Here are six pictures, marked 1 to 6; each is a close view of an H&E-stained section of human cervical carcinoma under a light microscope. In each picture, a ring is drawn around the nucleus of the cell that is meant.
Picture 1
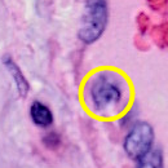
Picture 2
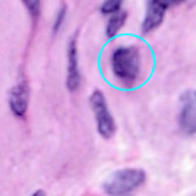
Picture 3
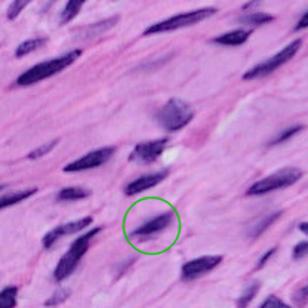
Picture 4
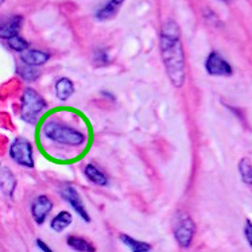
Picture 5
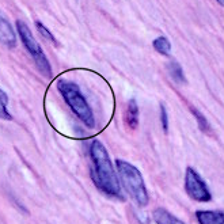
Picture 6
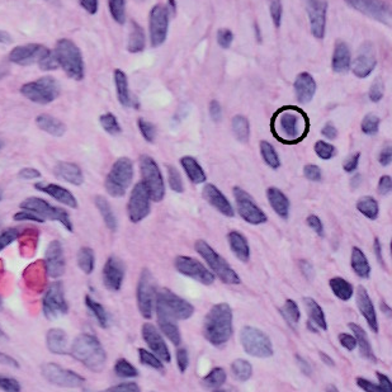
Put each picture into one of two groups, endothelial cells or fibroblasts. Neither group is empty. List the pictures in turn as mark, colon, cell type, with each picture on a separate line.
1: endothelial cell
2: fibroblast
3: fibroblast
4: endothelial cell
5: endothelial cell
6: fibroblast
